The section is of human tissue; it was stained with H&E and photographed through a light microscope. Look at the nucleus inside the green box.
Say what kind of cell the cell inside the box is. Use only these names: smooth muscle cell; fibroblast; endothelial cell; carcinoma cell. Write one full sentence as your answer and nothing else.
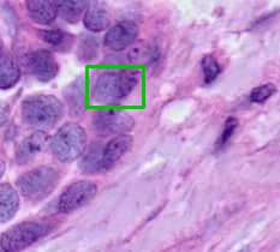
Histopathologically, the cell inside the box is a carcinoma cell.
